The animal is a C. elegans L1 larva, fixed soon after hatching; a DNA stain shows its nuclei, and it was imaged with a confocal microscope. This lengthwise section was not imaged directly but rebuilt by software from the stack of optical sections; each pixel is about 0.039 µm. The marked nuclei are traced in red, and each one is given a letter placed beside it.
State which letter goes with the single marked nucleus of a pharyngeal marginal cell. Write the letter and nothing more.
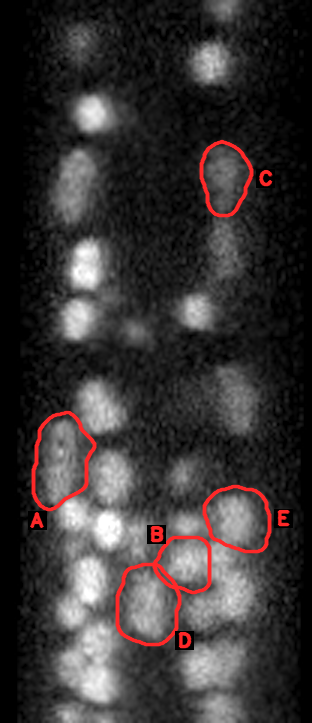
D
